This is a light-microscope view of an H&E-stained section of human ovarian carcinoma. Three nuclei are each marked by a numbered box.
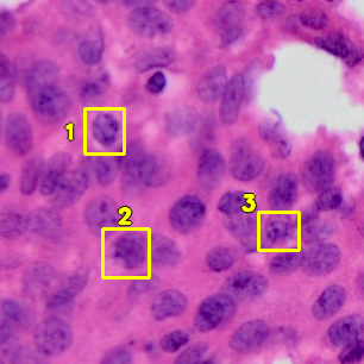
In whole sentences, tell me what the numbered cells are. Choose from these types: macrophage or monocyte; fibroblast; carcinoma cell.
Cell 1 is a macrophage or monocyte, cell 2 is a carcinoma cell and cell 3 is a macrophage or monocyte.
